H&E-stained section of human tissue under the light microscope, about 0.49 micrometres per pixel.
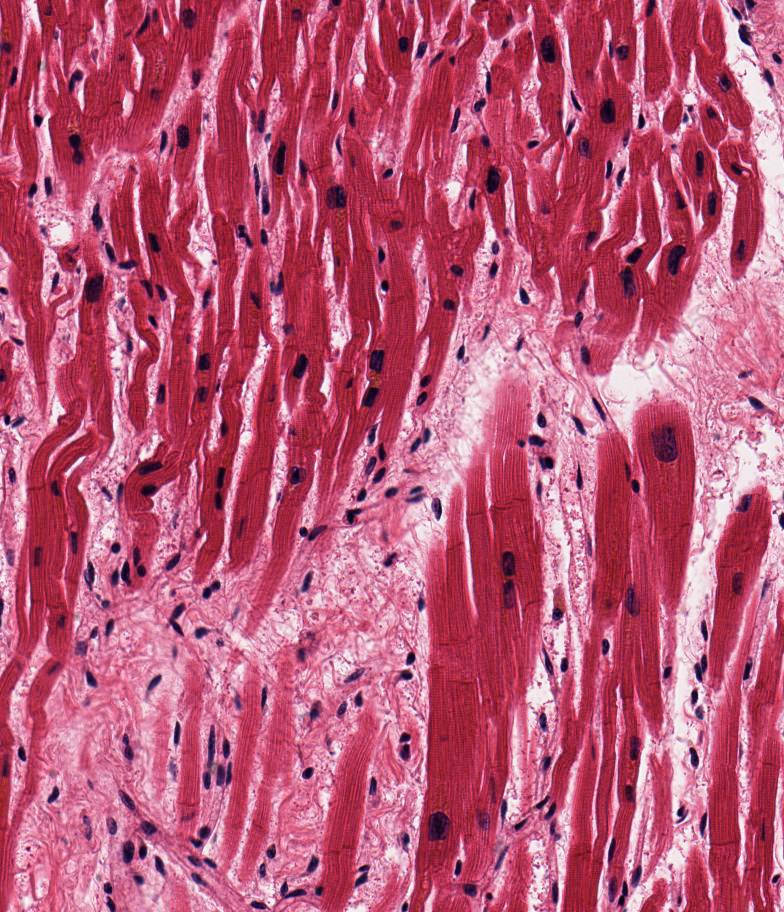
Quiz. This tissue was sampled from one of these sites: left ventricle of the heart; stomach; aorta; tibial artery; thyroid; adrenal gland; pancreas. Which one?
left ventricle of the heart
